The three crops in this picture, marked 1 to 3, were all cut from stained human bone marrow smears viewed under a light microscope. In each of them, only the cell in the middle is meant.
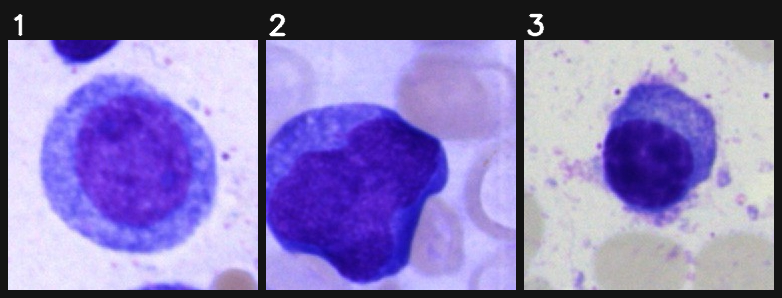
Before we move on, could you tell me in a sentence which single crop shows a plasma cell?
It is in crop 3 that a plasma cell is shown.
